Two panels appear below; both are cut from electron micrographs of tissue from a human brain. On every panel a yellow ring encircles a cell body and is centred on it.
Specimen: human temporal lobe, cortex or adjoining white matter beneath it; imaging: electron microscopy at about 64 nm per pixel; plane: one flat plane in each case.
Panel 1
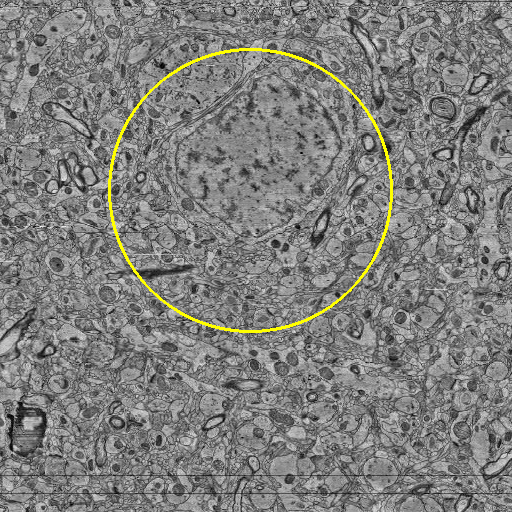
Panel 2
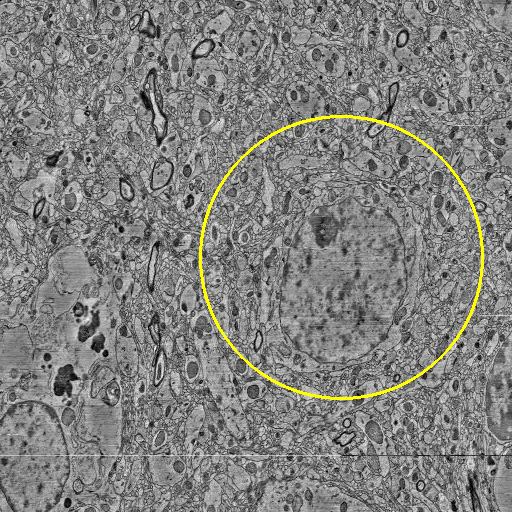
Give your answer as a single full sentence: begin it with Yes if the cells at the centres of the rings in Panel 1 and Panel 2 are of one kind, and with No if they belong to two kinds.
Yes, the cells in the middle of the rings in Panels 1 and 2 are of one kind.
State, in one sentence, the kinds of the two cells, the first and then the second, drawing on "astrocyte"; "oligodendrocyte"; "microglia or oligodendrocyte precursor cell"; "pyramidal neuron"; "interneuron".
Each of the two rings surrounds an interneuron.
